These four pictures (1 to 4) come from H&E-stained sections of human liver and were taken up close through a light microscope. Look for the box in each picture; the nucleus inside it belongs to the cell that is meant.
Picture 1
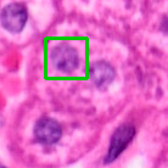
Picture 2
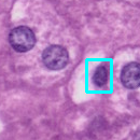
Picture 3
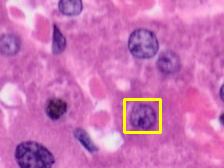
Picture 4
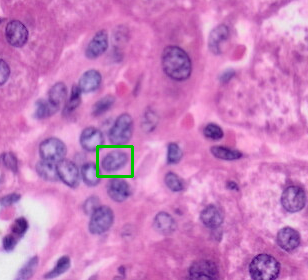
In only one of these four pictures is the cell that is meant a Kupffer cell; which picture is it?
2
